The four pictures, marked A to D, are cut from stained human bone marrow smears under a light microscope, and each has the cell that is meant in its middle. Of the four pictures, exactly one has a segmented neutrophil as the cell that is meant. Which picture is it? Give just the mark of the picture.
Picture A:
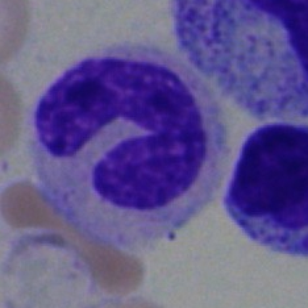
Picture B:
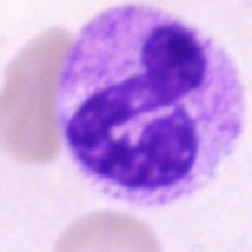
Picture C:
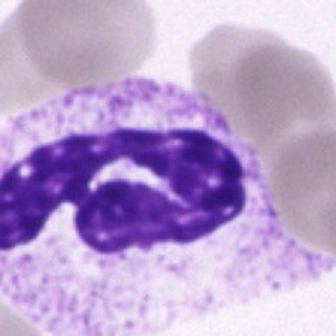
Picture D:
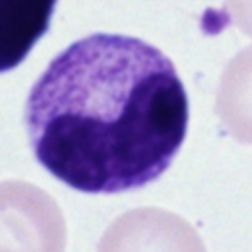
C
